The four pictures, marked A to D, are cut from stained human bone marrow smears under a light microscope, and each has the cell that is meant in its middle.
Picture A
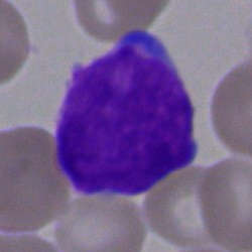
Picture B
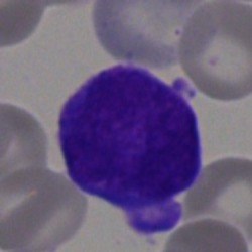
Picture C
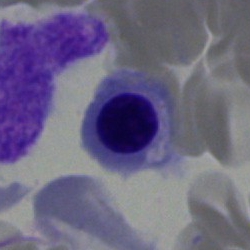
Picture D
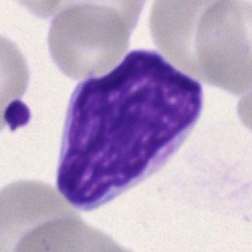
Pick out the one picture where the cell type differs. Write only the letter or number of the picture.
C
